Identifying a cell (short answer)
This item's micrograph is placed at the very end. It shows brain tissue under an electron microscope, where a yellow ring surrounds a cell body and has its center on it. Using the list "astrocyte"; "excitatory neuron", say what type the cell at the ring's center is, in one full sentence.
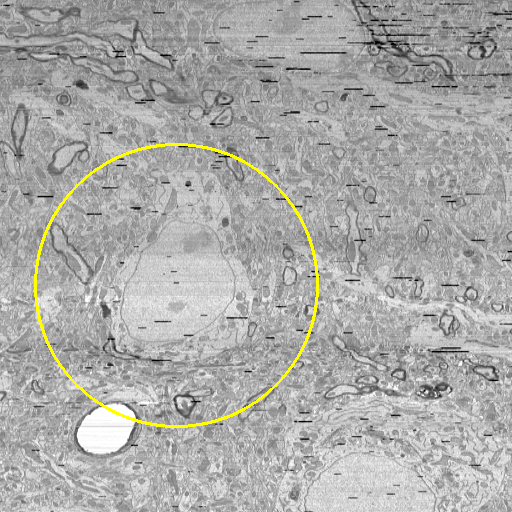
This picture shows an excitatory neuron at the center of the yellow ring drawn on it.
